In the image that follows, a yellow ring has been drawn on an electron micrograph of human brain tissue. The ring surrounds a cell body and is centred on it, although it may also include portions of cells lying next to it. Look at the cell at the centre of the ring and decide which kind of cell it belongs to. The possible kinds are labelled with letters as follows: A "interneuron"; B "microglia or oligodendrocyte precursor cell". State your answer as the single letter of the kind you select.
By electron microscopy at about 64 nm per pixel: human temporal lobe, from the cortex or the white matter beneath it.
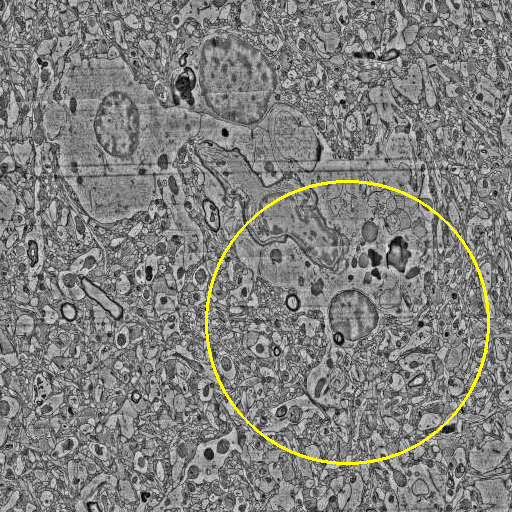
B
